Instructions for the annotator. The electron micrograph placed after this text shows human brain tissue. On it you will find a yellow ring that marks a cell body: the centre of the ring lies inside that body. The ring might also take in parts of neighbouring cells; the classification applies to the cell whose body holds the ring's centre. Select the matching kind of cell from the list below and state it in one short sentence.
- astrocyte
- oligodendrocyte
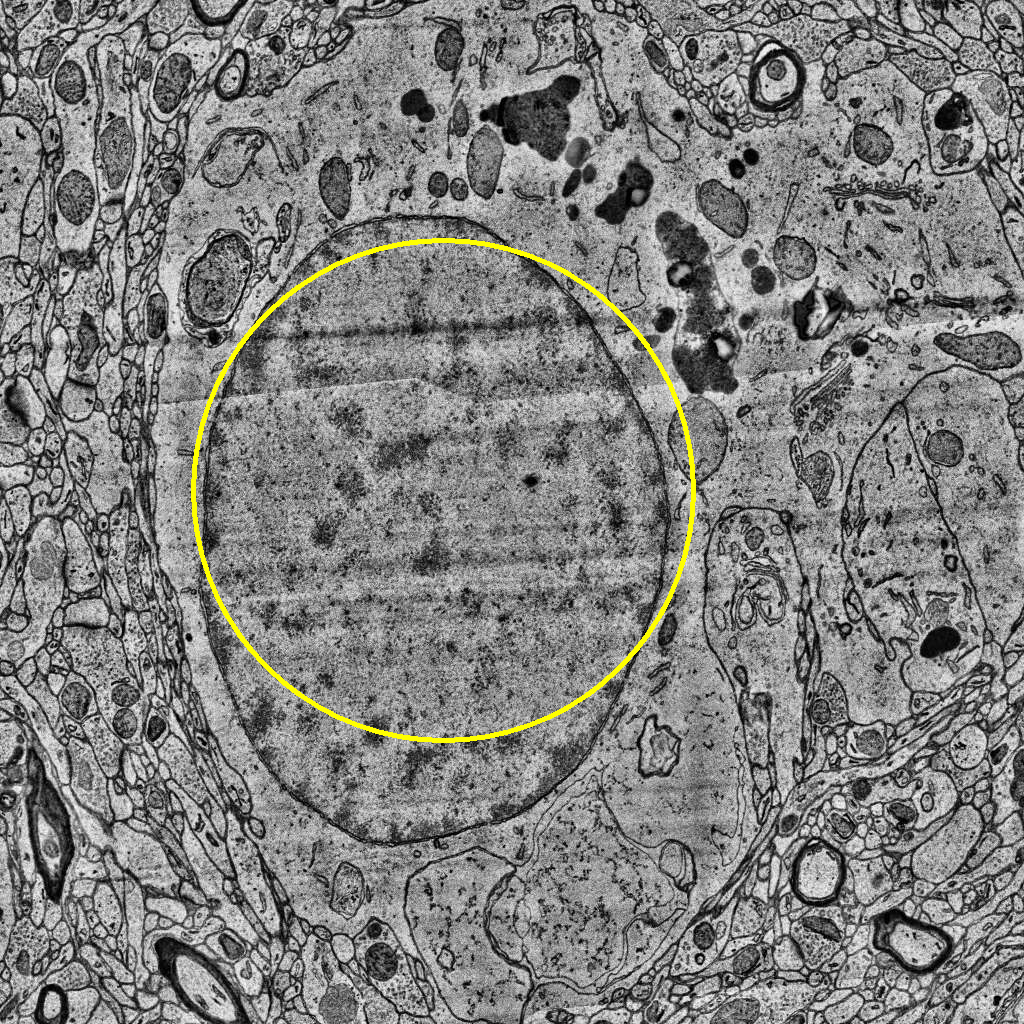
The centre of the ring lies in the cell body of an astrocyte.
